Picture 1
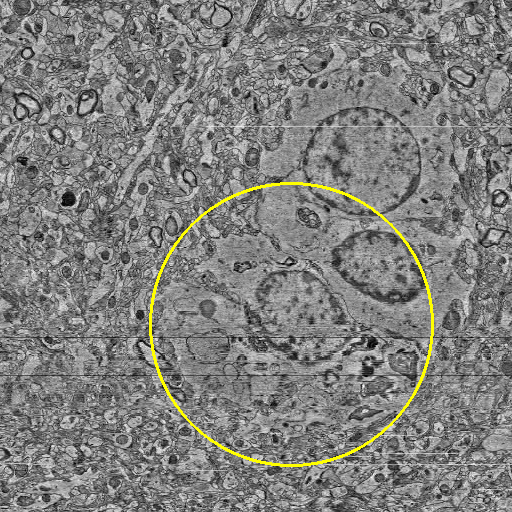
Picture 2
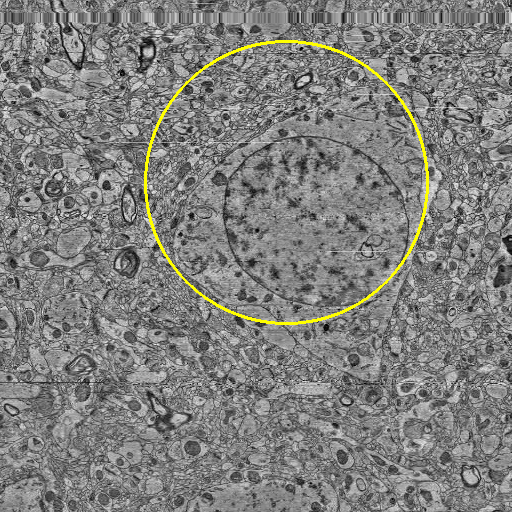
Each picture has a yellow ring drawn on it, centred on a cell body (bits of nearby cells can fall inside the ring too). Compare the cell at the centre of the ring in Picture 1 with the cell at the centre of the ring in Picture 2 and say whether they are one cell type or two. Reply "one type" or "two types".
two types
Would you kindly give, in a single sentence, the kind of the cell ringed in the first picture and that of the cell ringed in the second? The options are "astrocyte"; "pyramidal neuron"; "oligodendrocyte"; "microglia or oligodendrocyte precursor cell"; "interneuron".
The second cell is a pyramidal neuron, and the first cell is an astrocyte.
